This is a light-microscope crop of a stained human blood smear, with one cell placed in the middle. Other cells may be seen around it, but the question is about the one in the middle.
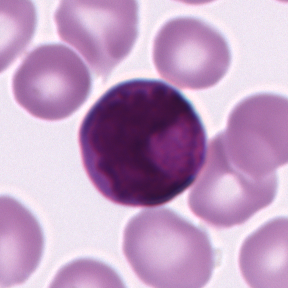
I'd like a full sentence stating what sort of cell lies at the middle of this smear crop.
In the centre of this crop there is a myeloblast.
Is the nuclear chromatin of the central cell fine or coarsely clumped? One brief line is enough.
You can see that its chromatin is coarsely clumped.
